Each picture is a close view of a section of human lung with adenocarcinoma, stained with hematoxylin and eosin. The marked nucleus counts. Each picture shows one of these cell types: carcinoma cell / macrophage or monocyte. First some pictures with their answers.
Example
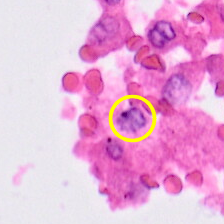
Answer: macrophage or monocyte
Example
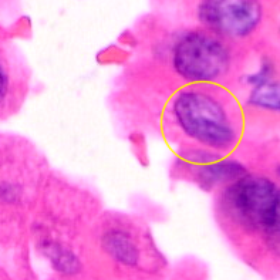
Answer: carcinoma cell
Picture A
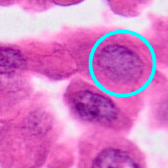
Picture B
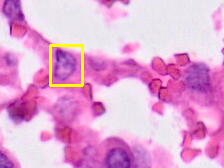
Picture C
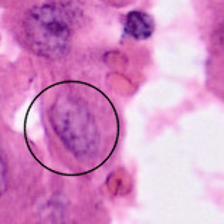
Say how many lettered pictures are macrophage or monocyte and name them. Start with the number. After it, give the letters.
Count: 1 (B)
